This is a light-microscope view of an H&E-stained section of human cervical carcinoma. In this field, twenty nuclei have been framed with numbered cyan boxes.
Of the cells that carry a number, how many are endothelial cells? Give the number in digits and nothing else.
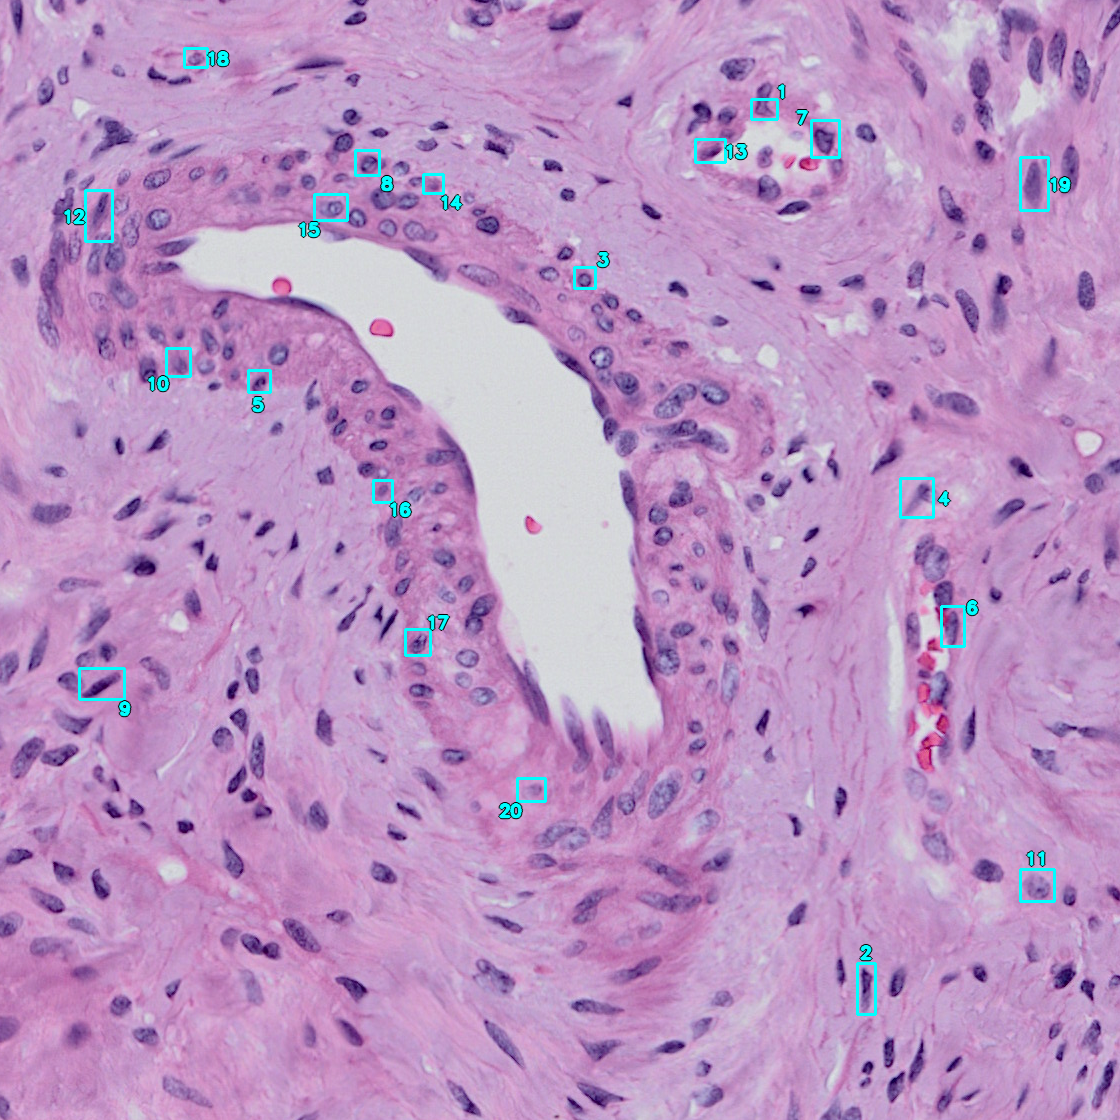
4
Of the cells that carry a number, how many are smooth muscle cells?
11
